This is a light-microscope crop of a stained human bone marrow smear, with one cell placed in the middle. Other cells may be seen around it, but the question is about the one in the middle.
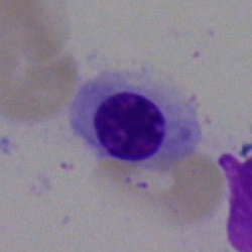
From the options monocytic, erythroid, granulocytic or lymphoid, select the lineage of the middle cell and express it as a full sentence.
Lineage classification of the central cell is erythroid.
